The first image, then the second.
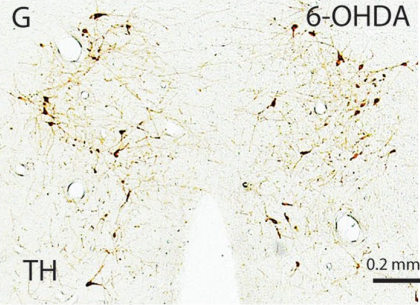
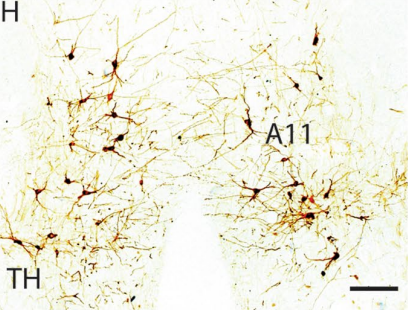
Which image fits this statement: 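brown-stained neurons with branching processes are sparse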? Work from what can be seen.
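Second image: many dark brown neuronal cell bodies with dense branching processes fill the field. First image: only scattered brown cell bodies with a thinner meshwork of processes. That points to this answer: the first image.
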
